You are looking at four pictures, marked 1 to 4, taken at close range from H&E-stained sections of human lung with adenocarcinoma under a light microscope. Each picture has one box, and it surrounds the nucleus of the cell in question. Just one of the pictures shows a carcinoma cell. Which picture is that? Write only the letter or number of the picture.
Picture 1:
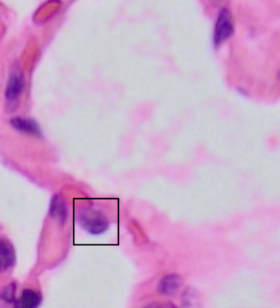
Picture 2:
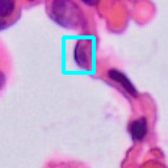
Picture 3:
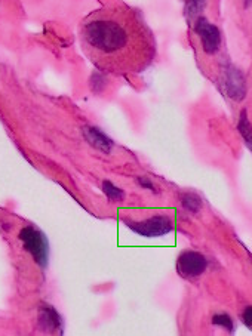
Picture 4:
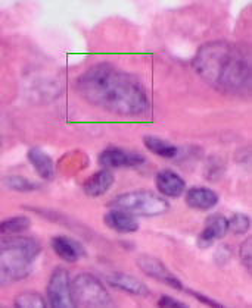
4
